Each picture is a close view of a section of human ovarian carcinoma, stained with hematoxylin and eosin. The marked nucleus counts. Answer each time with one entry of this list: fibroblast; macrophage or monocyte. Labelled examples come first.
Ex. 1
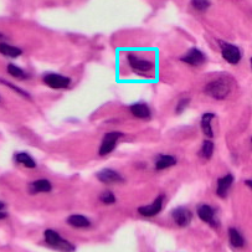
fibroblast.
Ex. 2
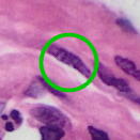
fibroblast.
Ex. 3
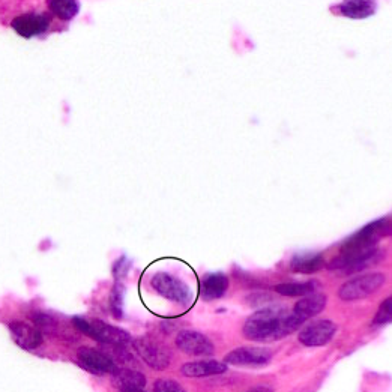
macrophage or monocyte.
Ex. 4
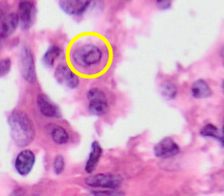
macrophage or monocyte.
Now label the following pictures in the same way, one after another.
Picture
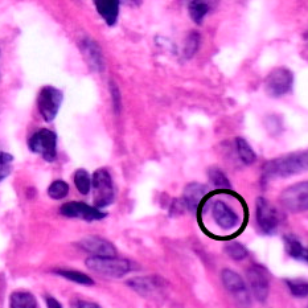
macrophage or monocyte.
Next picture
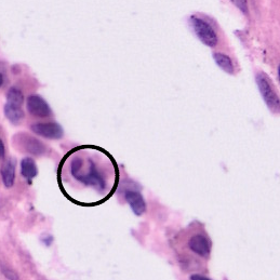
macrophage or monocyte.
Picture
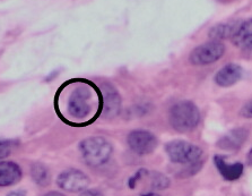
macrophage or monocyte.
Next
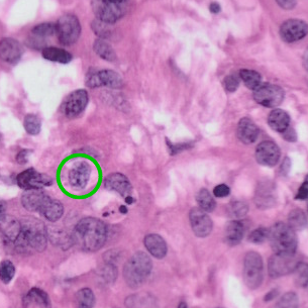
macrophage or monocyte.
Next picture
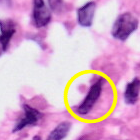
macrophage or monocyte.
